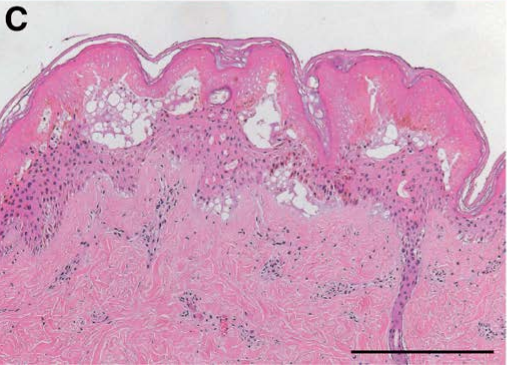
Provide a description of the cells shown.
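This is skin with a thickened, deep pink epidermis above a paler dermis of wavy collagen fibres. Within the lower epidermis and along its border with the dermis lie many clear, empty vacuoles and clefts, giving a bubbly, torn look to that layer. Scattered small dark nuclei of inflammatory cells lie in the upper dermis beneath it.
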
